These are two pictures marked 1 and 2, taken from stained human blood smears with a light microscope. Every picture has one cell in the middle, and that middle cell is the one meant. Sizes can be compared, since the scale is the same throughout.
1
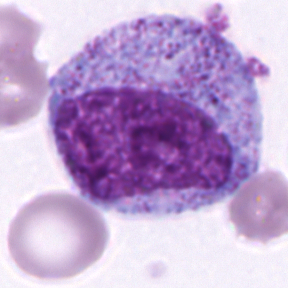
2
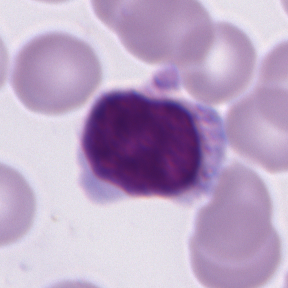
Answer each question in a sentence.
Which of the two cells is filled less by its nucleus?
The nucleus fills less of the cell in crop 1 than in crop 2.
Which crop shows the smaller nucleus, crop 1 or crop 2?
Crop 2 shows the smaller nucleus, since that in crop 1 covers about 1.5 times as much area.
